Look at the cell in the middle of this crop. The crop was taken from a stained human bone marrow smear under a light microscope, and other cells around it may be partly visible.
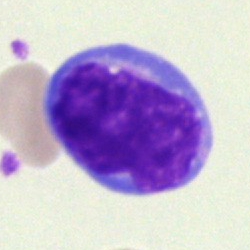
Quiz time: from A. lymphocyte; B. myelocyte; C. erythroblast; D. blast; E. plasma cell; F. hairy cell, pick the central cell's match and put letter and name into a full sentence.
That middle cell is a blast, and option D is therefore correct.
